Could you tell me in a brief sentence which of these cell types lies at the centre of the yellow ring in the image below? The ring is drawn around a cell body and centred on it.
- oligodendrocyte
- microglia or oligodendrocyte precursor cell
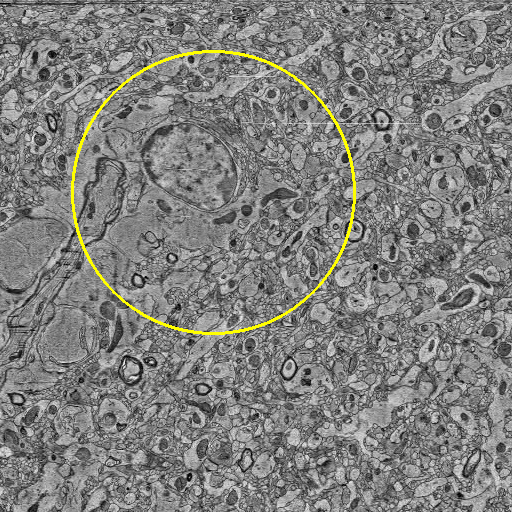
The cell centred in the ring is a microglial cell or oligodendrocyte precursor cell.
